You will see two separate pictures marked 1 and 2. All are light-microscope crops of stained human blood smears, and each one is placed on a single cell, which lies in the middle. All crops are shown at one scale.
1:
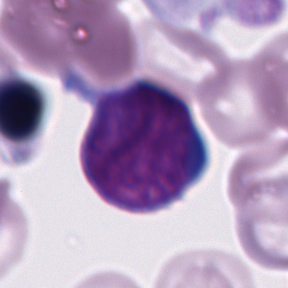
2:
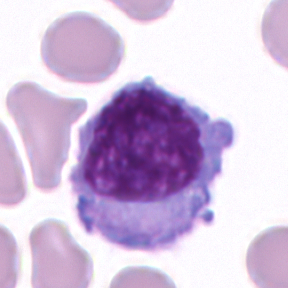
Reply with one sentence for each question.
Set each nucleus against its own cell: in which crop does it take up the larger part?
In crop 1 the nucleus takes up the larger part of its cell.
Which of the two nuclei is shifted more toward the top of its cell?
The nucleus in crop 2 lies further toward the top of its cell.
